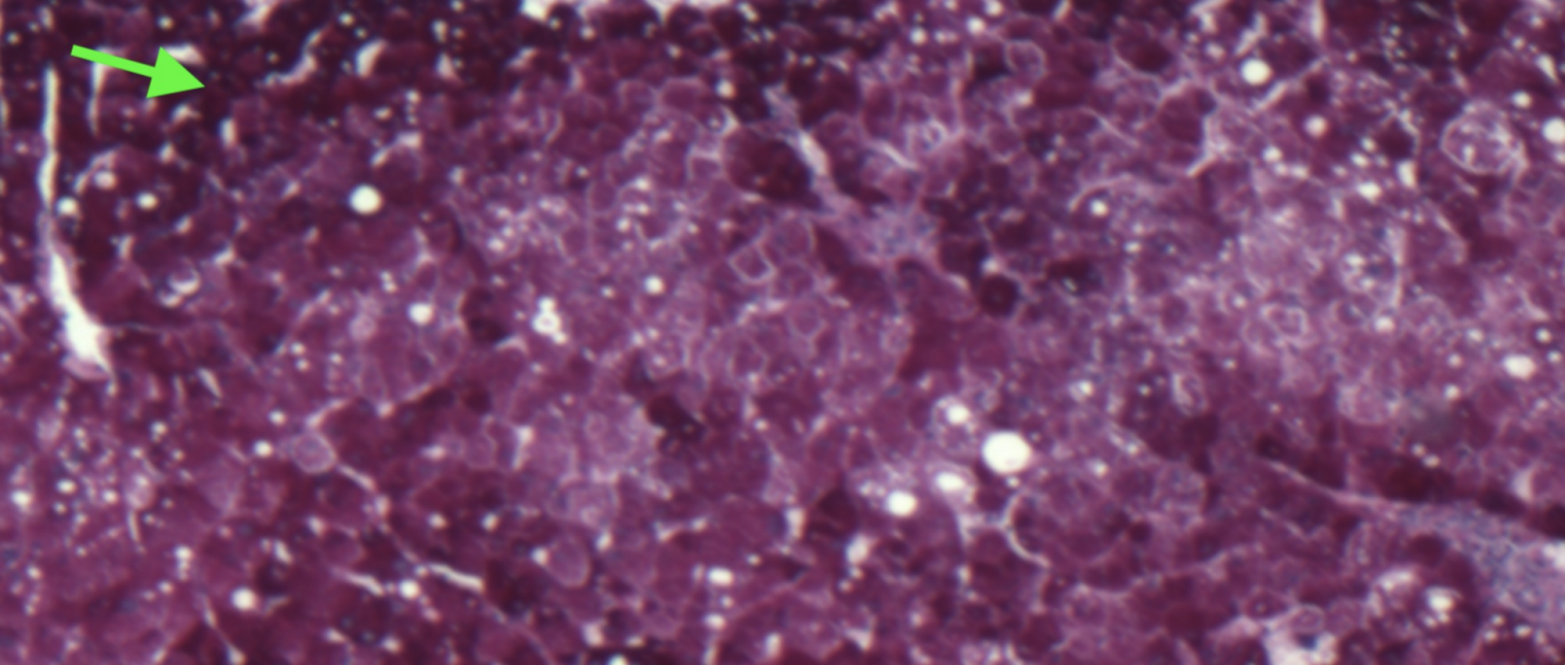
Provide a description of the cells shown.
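This is liver tissue with sheets of hepatocytes, large polygonal cells lying tightly packed in plates, their fine borders showing as thin pale lines. The colour is uneven: some regions, especially toward the upper left and along bands crossing the field, are dark wine-red, while others are paler lilac with the cell outlines standing out more clearly. Scattered small round clear spaces dot the tissue, and a few thin pale clefts run between the cell plates.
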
